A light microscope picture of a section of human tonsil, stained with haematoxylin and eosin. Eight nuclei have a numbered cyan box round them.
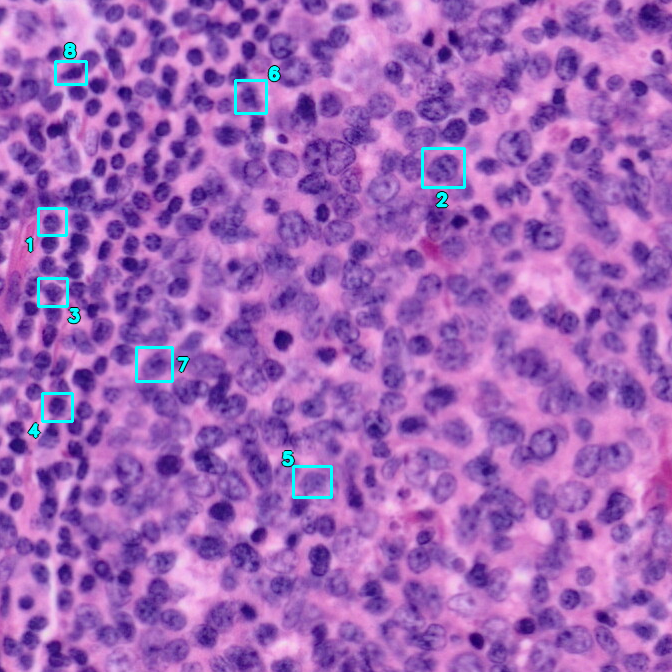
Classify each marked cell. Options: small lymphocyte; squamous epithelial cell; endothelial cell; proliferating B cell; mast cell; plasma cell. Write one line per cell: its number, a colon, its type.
1: small lymphocyte
2: proliferating B cell
3: small lymphocyte
4: small lymphocyte
5: proliferating B cell
6: proliferating B cell
7: proliferating B cell
8: small lymphocyte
